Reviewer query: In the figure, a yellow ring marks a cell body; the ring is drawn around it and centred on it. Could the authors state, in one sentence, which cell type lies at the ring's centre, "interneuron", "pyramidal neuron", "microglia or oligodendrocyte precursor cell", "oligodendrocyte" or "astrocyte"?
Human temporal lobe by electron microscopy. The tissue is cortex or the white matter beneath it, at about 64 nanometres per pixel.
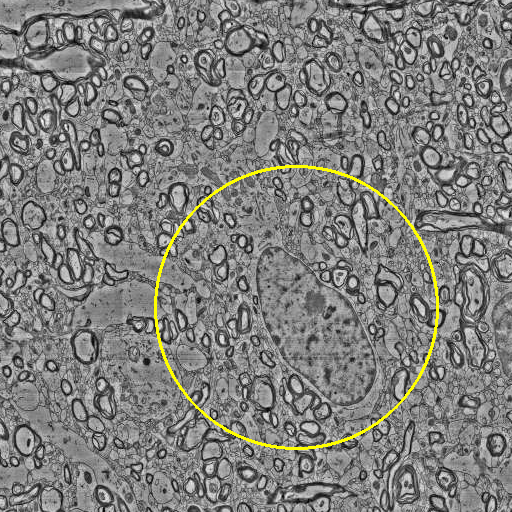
The ring is centred on a microglial cell or oligodendrocyte precursor cell.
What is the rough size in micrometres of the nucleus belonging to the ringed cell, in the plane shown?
In this plane the nucleus is about 11 micrometres by 5.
